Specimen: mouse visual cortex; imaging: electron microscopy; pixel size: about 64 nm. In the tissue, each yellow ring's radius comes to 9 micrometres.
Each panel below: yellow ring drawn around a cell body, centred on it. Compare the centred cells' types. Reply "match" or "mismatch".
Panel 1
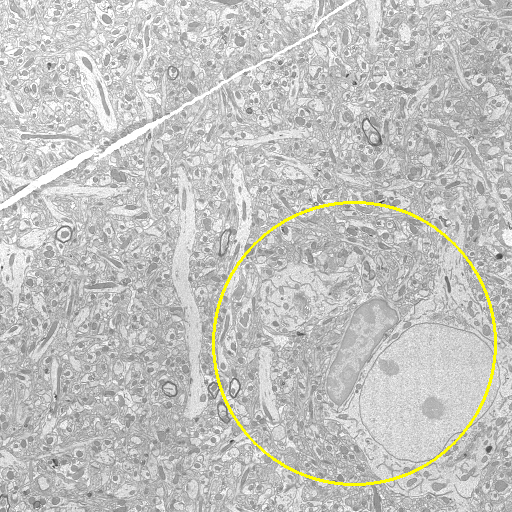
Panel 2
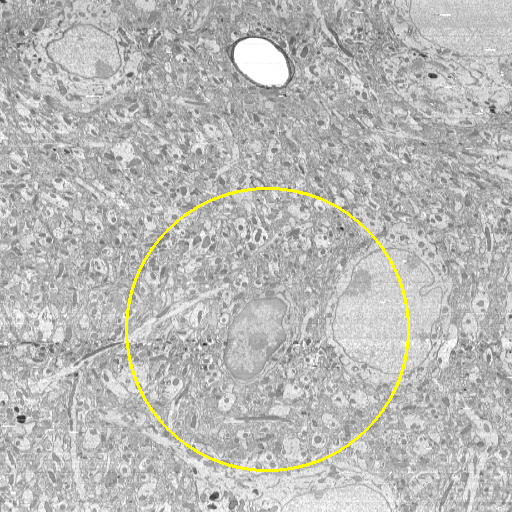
match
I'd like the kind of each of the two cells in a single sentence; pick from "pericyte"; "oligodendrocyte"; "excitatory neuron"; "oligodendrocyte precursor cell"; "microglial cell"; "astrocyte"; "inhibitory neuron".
Each cell at the centre of a ring is a microglial cell.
